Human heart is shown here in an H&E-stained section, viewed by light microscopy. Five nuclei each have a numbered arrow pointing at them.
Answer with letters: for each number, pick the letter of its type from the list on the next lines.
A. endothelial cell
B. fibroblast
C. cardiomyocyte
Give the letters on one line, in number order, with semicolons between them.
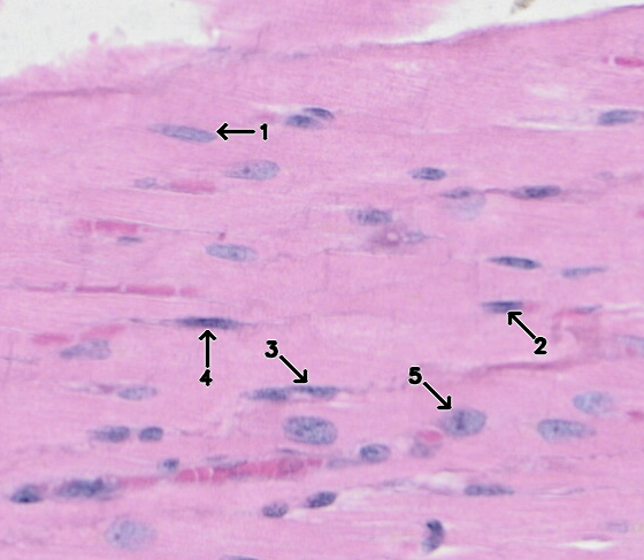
C; A; B; A; C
